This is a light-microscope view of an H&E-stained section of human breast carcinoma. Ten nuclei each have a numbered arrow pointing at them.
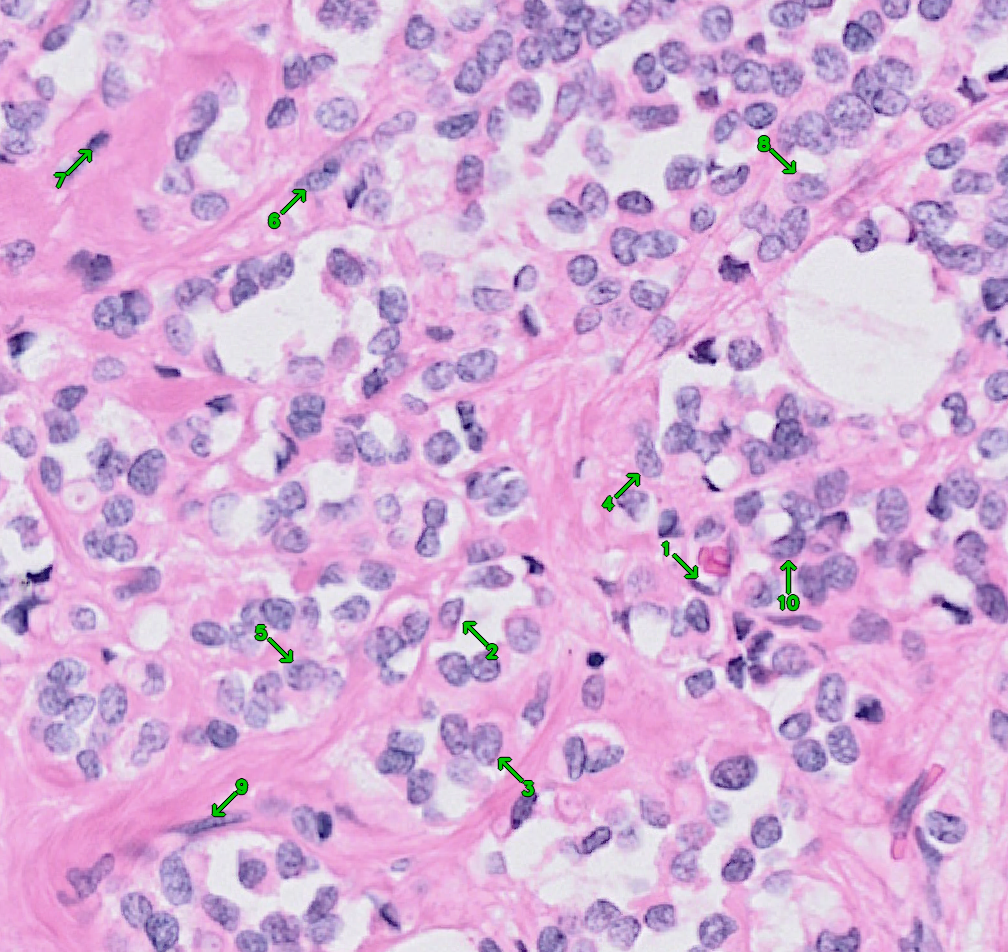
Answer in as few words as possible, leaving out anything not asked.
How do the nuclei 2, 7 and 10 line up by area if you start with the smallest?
7, 2, 10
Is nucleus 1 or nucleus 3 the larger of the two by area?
3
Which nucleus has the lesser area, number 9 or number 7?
7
